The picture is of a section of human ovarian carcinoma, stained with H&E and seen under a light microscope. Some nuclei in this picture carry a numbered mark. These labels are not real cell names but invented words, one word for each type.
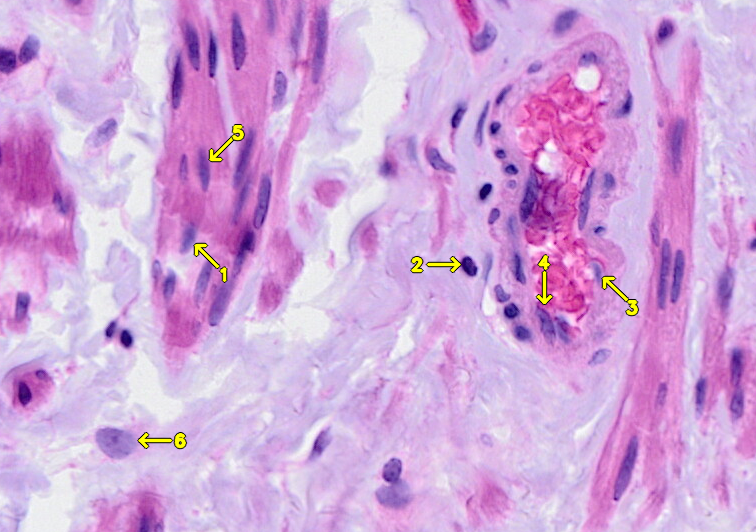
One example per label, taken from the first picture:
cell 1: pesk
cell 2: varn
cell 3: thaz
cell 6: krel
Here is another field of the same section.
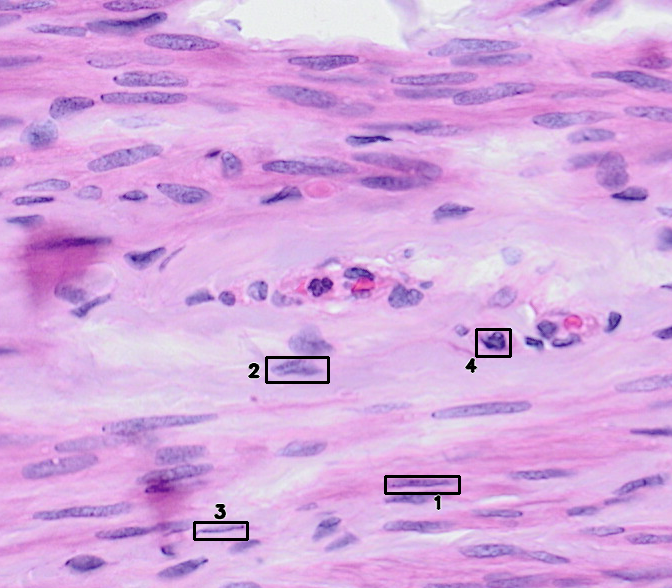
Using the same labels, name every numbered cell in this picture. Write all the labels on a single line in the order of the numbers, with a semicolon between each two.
pesk; krel; krel; varn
